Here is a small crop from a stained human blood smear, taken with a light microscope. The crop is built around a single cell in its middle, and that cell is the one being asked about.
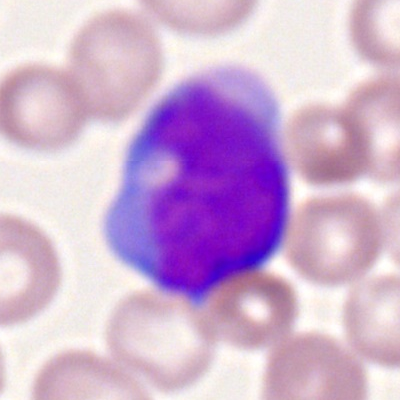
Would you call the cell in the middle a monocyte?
no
